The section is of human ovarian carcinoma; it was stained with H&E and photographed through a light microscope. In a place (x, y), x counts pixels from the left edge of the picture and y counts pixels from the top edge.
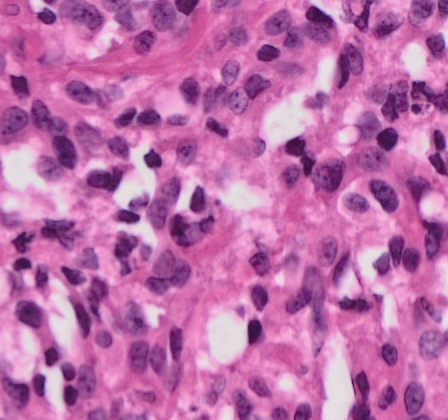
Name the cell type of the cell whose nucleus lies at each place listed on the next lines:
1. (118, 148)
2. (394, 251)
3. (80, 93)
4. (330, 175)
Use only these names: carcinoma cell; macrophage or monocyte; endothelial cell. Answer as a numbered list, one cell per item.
1. carcinoma cell
2. carcinoma cell
3. macrophage or monocyte
4. carcinoma cell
